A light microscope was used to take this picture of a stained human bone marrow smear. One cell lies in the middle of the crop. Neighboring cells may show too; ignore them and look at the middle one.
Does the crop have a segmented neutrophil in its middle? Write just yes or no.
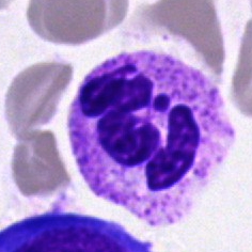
yes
